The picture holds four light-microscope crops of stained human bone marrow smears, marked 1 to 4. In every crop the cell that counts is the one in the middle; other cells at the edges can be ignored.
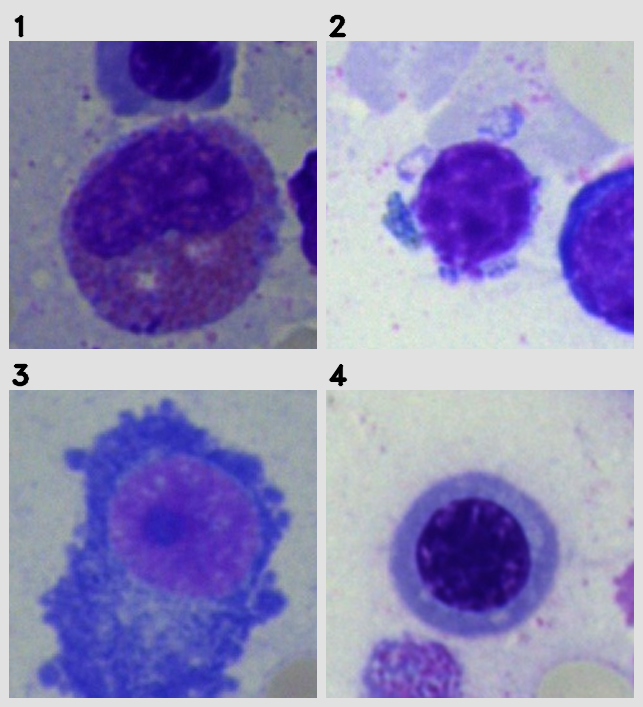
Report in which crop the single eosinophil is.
1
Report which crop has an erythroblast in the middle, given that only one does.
4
